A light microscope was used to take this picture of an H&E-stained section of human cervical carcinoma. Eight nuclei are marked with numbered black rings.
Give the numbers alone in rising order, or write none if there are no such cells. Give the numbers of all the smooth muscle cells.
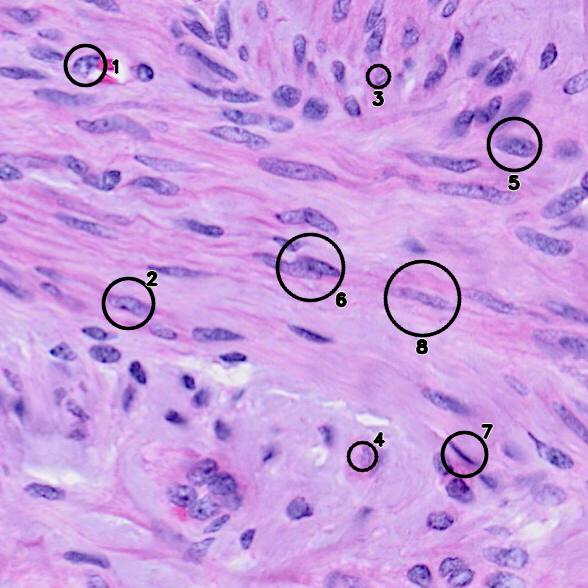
2, 3, 6, 8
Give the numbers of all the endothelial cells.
1, 4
